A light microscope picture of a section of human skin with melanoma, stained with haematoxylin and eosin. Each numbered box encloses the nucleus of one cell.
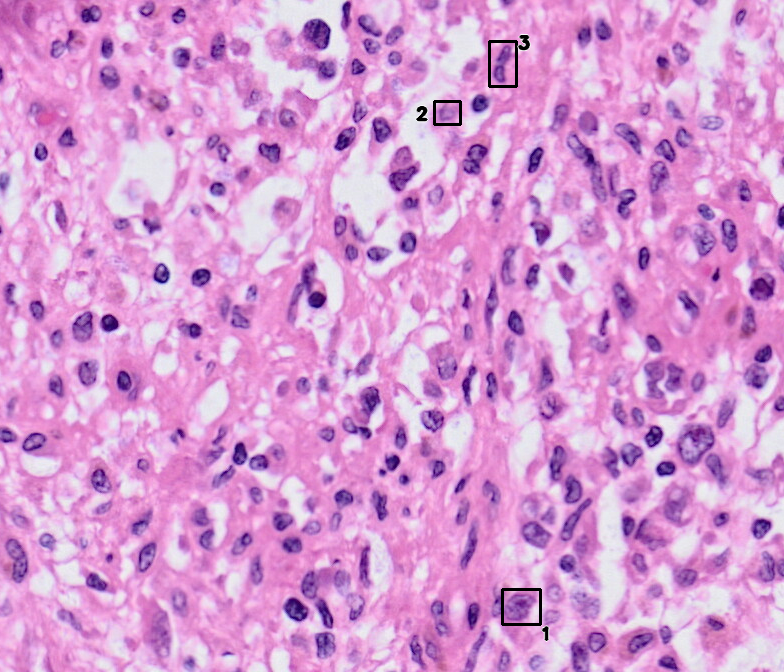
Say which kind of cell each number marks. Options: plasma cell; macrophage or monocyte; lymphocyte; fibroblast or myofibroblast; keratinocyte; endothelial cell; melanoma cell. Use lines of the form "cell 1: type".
cell 1: melanoma cell
cell 2: macrophage or monocyte
cell 3: macrophage or monocyte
